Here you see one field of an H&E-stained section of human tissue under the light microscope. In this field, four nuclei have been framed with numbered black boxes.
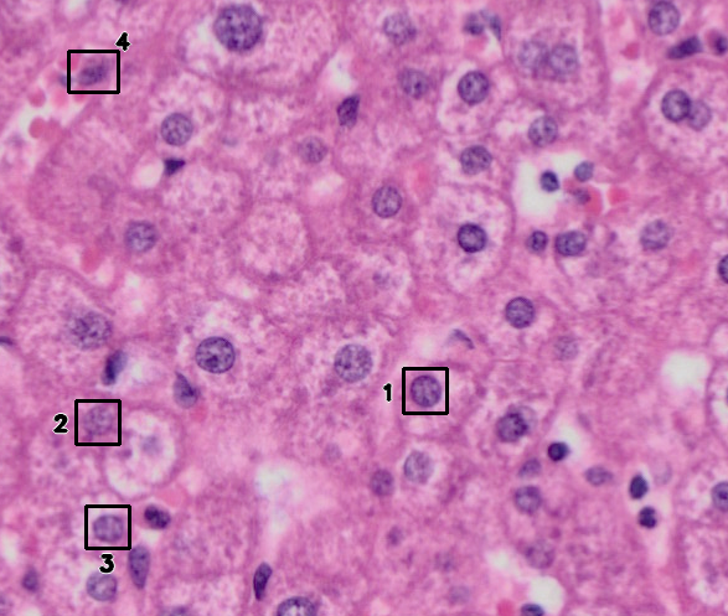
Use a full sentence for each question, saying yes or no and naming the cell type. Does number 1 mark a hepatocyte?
Yes, the cell at the mark numbered 1 is a hepatocyte.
